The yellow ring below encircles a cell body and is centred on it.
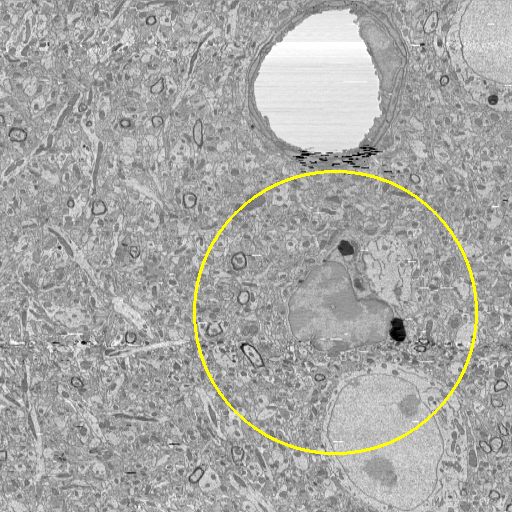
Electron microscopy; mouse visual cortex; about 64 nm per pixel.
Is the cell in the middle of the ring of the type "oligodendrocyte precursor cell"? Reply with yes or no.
no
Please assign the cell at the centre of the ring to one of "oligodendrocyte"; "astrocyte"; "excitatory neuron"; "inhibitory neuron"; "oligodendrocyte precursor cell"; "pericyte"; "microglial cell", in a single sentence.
Instead, the ring in this picture marks a microglial cell.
